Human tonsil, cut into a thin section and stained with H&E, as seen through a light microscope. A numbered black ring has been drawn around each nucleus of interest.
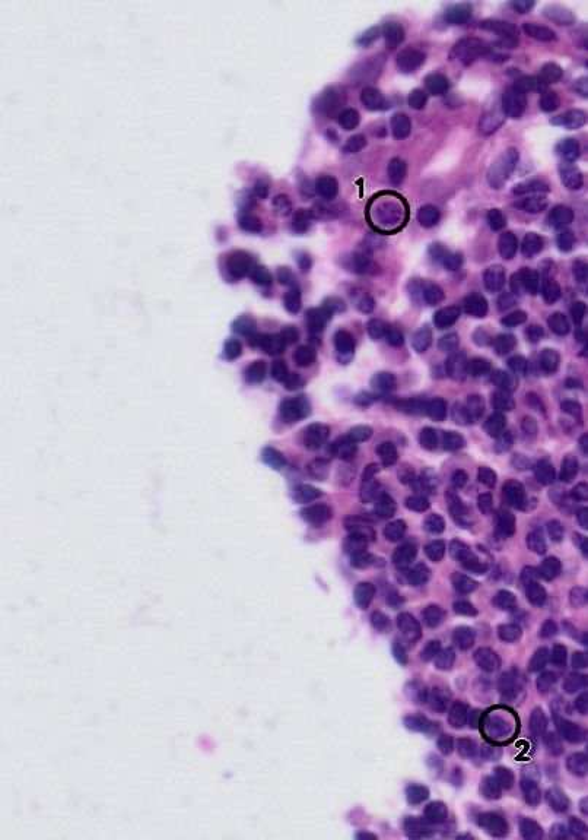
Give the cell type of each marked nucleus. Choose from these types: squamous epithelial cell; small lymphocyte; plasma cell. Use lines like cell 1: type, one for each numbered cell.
cell 1: plasma cell
cell 2: small lymphocyte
